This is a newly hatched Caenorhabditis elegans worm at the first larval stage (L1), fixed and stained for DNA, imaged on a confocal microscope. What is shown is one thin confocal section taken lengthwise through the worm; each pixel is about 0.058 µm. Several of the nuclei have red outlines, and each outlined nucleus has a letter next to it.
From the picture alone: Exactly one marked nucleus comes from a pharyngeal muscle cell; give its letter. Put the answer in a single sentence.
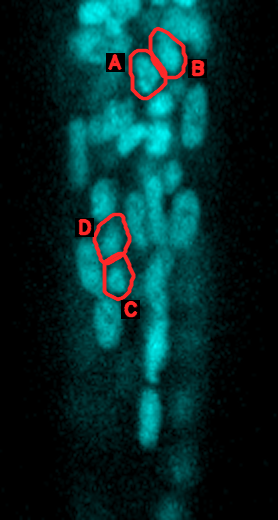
A is the one that belongs to a pharyngeal muscle cell.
